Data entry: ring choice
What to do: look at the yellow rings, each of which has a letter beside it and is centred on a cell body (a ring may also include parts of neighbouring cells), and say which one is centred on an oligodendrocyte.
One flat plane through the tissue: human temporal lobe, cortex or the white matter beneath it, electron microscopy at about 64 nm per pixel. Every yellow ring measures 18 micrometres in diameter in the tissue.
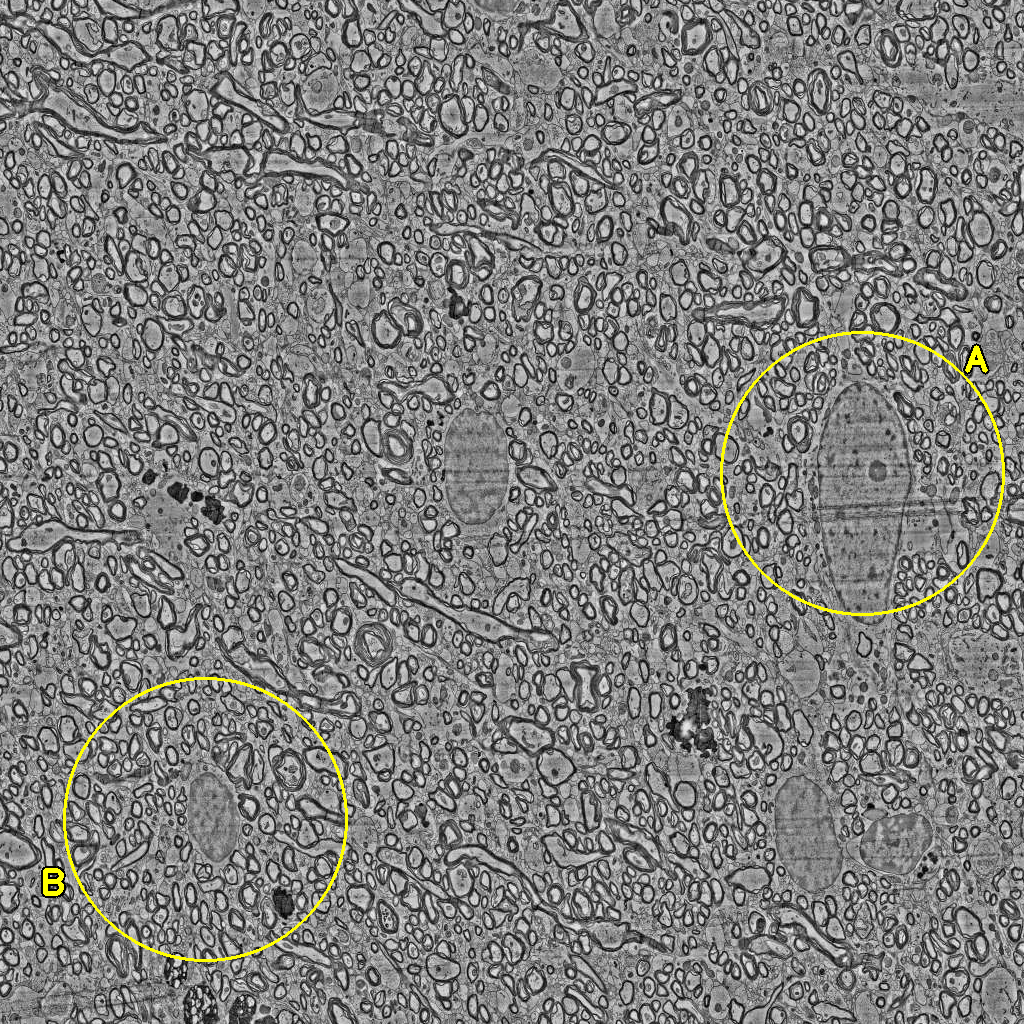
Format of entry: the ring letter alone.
B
